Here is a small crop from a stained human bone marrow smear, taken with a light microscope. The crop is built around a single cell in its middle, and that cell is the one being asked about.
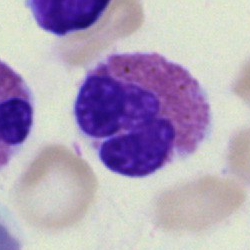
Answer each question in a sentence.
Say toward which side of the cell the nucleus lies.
It is shifted toward the lower left of the cell.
